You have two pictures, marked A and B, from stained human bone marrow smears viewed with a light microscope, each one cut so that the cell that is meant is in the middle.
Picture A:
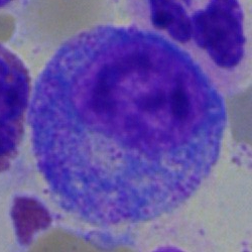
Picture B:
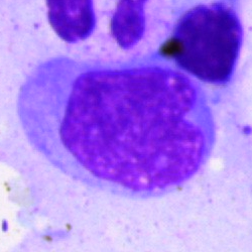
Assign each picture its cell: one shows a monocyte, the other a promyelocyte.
A: promyelocyte
B: monocyte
